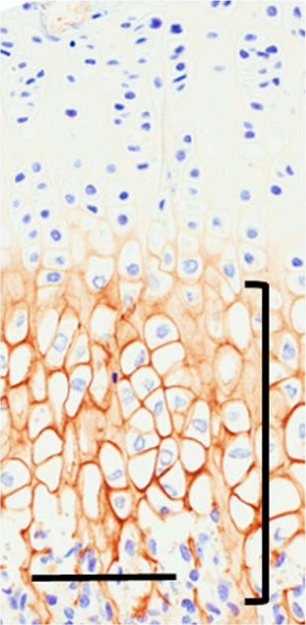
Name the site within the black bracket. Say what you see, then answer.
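Hypertrophic region of the growth plate. The bracketed zone holds large, swollen chondrocytes with clear cytoplasm. These enlarged cells lie below rows of smaller, flatter chondrocytes. The matrix around the bracketed cells is stained brown.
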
